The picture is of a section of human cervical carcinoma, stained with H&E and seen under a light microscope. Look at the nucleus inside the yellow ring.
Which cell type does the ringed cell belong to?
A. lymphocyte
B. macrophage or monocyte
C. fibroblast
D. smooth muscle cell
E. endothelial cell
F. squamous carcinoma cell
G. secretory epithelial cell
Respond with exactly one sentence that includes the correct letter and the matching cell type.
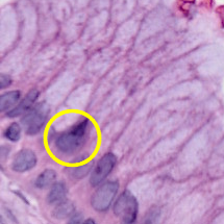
Option G is correct here; the ringed cell is a secretory epithelial cell.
